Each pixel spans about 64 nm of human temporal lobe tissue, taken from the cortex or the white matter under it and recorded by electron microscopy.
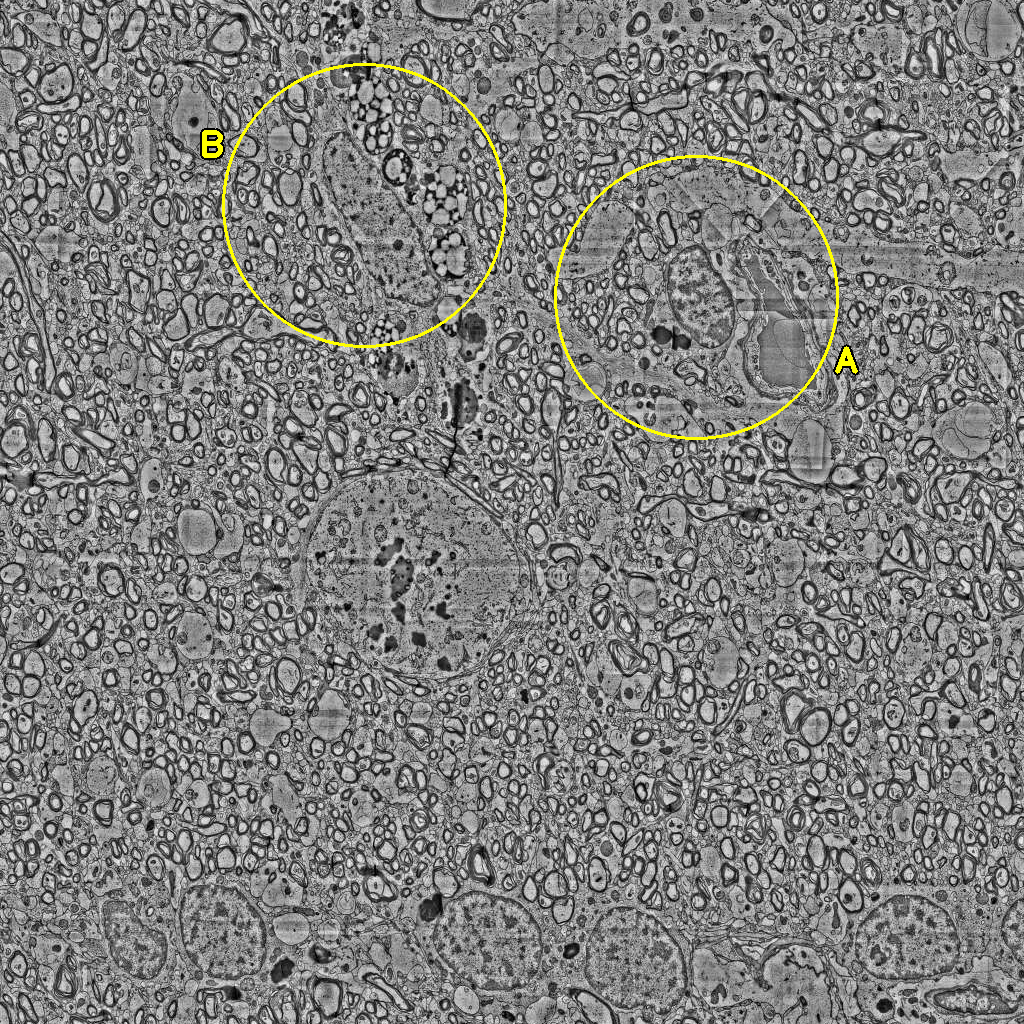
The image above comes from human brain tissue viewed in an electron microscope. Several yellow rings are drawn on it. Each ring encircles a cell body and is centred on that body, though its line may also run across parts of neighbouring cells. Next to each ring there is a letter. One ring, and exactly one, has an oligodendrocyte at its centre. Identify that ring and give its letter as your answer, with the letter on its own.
A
